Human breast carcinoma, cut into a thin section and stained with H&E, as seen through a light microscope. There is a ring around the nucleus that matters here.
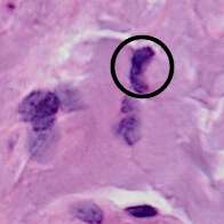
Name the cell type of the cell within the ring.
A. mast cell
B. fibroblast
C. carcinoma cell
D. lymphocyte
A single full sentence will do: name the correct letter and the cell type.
Here the cell within the ring is a fibroblast; pick option B.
